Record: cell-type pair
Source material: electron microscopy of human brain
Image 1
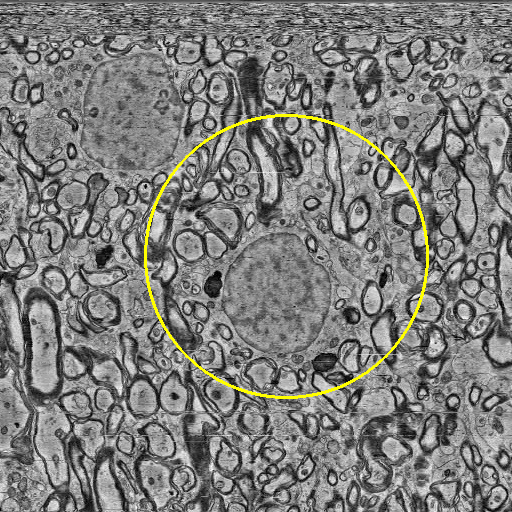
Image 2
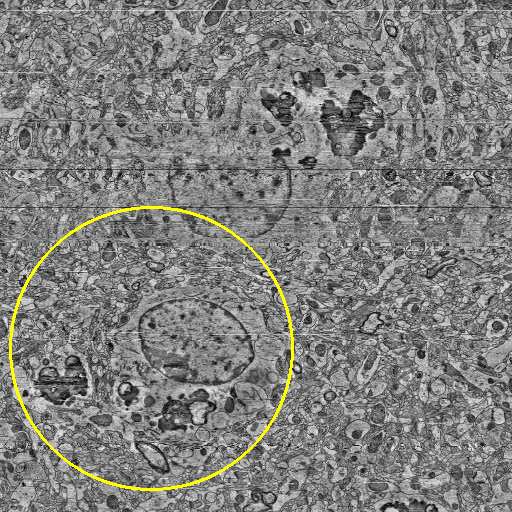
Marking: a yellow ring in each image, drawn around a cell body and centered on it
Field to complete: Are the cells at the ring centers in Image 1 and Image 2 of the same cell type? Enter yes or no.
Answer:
no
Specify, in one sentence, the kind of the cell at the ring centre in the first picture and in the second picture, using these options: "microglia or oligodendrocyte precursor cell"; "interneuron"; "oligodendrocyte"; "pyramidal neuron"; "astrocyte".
So the first is an oligodendrocyte, the second an astrocyte.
